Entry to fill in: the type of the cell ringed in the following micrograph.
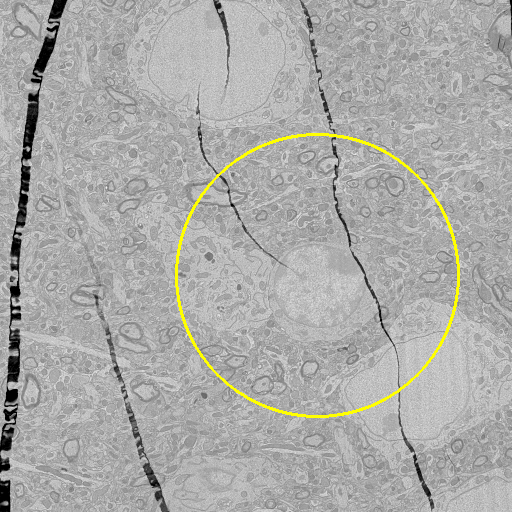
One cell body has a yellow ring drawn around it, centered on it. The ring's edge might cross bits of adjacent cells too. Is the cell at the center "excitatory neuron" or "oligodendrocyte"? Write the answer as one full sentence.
This entry names an oligodendrocyte as the cell whose body lies at the ring's center.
